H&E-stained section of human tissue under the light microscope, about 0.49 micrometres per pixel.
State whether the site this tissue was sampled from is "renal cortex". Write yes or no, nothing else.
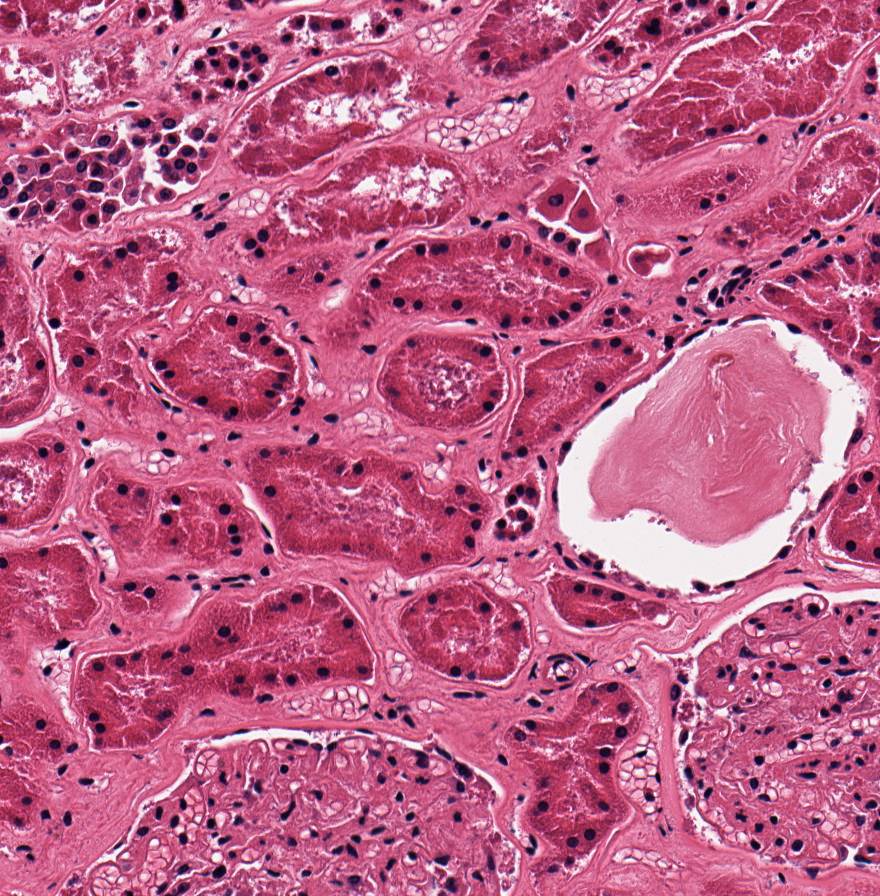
yes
